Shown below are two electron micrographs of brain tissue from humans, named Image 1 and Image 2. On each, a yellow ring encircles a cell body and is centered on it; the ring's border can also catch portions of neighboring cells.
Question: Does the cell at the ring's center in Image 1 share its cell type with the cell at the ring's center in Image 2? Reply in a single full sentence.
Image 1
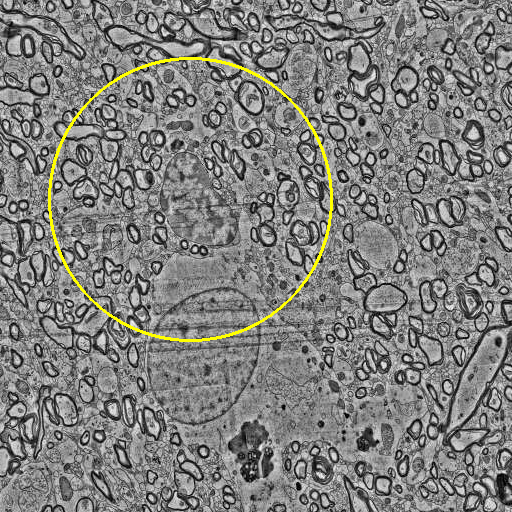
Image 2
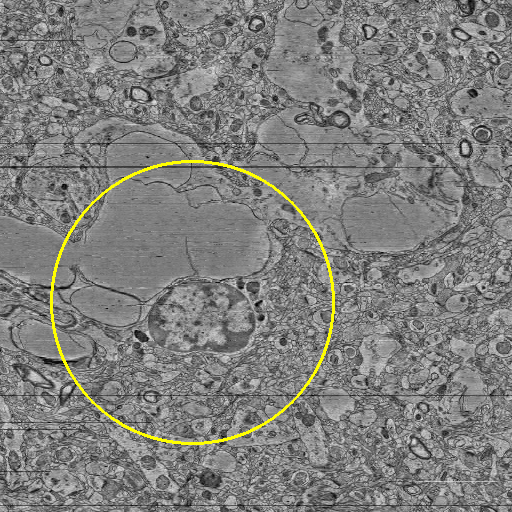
Yes, the two cells at the ring centers, in Image 1 and Image 2, share one cell type.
